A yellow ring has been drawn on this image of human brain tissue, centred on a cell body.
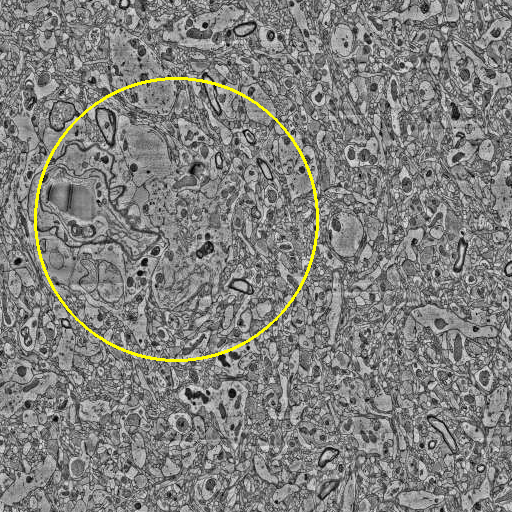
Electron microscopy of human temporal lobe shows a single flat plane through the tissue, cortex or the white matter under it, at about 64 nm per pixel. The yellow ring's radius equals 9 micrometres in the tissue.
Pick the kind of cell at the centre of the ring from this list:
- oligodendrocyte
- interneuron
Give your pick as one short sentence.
The centre of the ring holds an interneuron.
